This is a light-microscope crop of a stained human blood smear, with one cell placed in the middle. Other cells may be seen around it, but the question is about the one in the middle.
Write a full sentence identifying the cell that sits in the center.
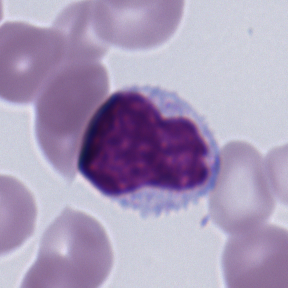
The cell centred in this crop is categorized as a large granular lymphocyte.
